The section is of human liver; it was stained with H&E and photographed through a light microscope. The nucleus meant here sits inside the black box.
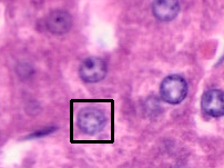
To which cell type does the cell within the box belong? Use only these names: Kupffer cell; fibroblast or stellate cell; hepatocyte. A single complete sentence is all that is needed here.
As classified here, the cell within the box is a hepatocyte.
